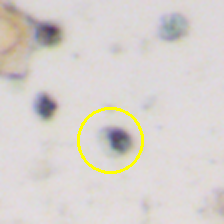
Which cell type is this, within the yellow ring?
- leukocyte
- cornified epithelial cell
Within the ring is a leukocyte.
